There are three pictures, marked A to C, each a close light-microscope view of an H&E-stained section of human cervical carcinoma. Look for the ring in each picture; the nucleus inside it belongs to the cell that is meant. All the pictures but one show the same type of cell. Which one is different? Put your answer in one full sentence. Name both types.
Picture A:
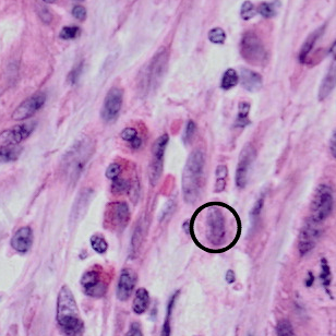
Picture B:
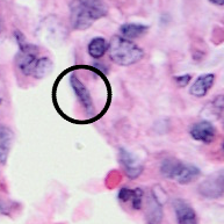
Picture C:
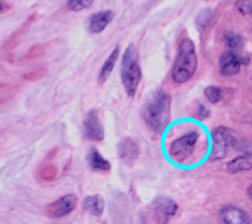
The different one is picture B; it shows an endothelial cell, whereas all the others show “macrophages or monocytes”.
